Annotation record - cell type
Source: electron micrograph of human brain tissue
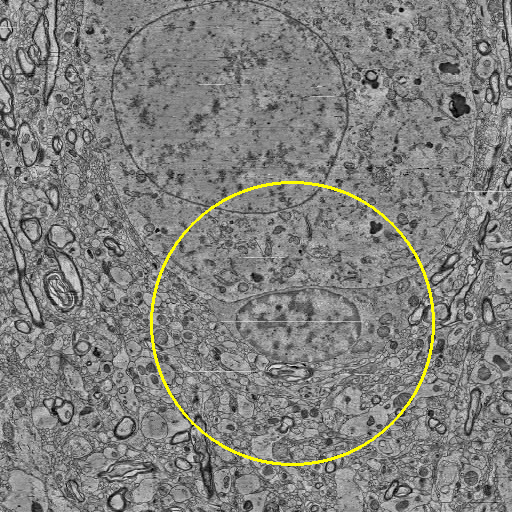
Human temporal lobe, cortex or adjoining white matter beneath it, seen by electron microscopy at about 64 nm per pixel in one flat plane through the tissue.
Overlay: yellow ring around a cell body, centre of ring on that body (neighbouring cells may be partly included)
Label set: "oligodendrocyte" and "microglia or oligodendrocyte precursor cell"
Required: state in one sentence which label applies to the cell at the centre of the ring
This cell should be labelled as an oligodendrocyte.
